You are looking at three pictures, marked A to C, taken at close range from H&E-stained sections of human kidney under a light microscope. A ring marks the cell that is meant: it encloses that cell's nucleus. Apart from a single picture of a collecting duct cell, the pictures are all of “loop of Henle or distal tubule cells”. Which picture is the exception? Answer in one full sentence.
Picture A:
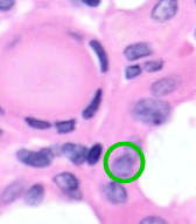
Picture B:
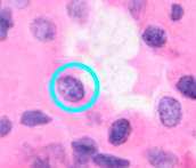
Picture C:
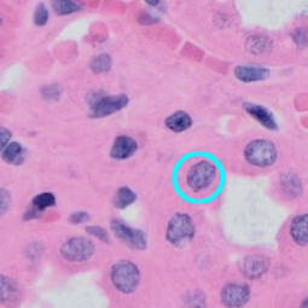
The cell in picture A is the collecting duct cell.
